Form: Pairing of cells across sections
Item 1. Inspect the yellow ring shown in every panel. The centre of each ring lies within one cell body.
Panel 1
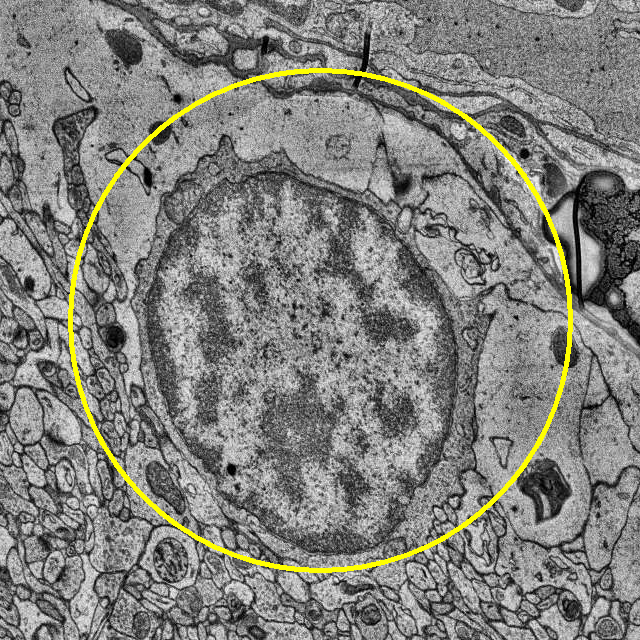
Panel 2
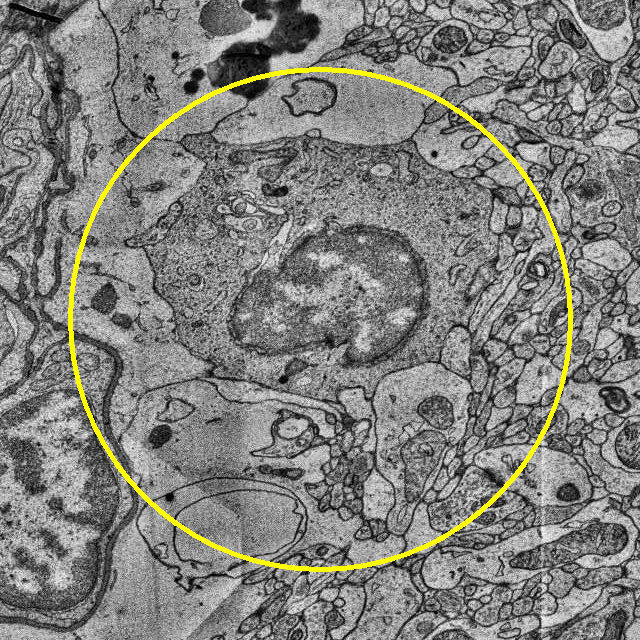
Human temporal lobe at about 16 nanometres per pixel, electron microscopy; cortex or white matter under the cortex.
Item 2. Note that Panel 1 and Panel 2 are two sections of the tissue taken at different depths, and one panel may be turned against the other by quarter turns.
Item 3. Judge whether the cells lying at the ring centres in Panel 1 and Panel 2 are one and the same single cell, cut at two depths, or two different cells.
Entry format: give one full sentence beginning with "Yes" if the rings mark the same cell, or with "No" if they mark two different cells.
Yes, the cell inside the first ring is the cell inside the second.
